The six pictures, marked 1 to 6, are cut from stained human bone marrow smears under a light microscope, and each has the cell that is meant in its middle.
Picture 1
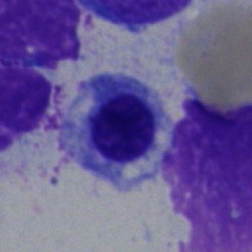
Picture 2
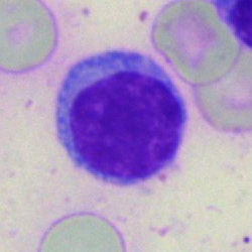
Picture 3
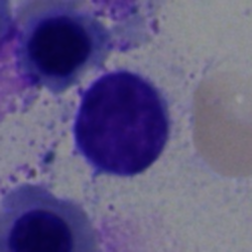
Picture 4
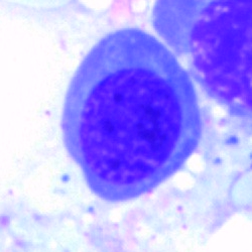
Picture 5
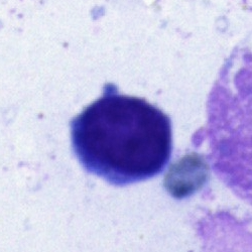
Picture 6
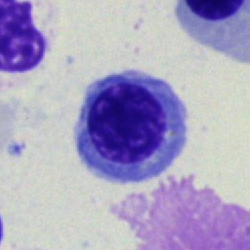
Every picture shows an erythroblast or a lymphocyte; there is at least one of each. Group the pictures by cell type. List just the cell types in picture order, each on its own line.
erythroblast
lymphocyte
lymphocyte
erythroblast
lymphocyte
erythroblast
